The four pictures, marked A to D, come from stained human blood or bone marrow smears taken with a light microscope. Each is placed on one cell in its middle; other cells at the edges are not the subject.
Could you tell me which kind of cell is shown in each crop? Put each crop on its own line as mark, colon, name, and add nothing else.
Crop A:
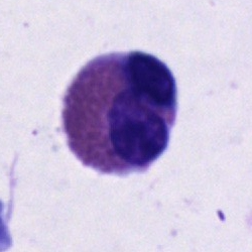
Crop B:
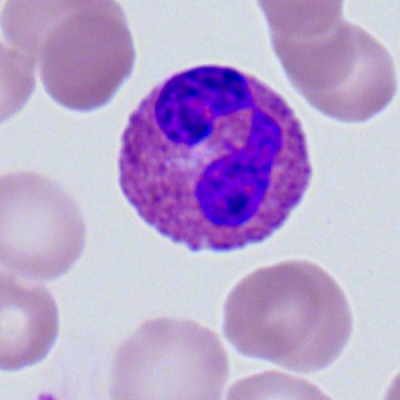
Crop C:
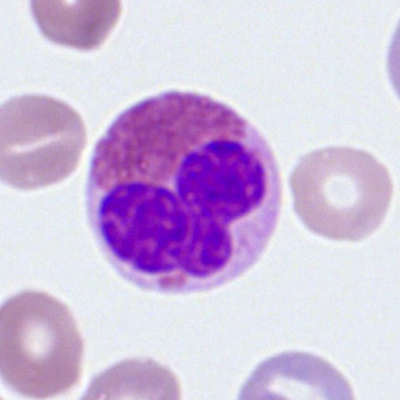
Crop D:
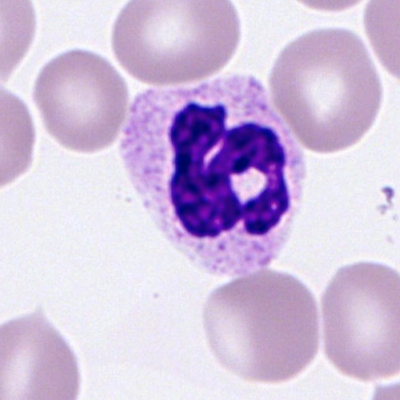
A: eosinophil
B: eosinophil
C: eosinophil
D: segmented neutrophil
